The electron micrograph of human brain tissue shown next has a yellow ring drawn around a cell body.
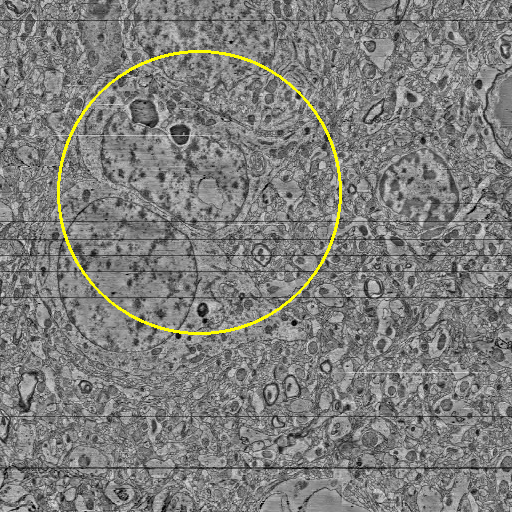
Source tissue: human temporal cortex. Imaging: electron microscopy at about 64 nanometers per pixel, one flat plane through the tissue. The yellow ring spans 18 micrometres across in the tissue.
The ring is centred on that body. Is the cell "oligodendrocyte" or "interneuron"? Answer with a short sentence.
The cell in question is an interneuron.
